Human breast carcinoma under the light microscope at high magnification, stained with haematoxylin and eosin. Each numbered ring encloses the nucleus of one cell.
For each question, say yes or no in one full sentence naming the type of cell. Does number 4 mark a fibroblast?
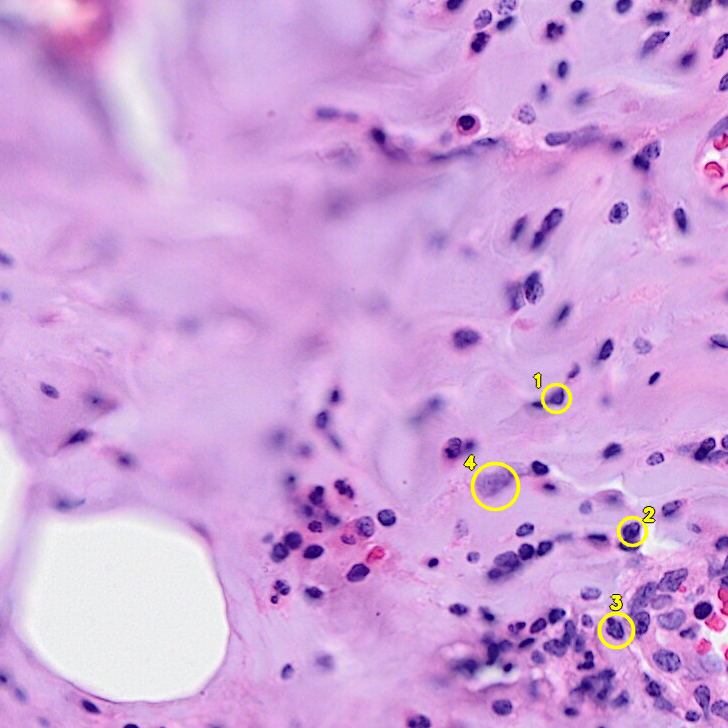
Yes, within this section, cell number 4 is a fibroblast.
